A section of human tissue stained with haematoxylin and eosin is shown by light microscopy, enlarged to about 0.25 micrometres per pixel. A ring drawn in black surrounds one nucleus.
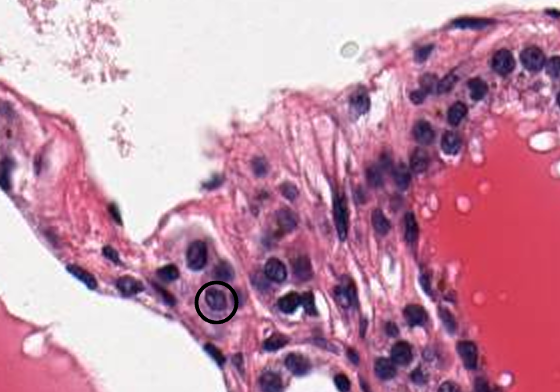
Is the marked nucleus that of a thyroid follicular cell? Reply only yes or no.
yes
